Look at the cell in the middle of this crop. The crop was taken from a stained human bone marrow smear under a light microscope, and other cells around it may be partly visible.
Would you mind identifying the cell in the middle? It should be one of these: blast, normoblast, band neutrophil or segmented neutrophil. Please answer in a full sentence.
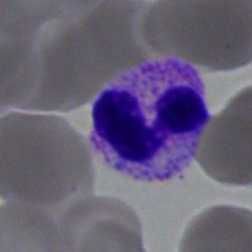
The middle of this crop holds a segmented neutrophil.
